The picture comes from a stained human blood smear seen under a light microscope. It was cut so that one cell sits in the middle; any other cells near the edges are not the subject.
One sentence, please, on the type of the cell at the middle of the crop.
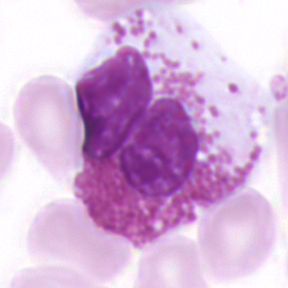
The cell in the middle of the field of view is an eosinophil.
